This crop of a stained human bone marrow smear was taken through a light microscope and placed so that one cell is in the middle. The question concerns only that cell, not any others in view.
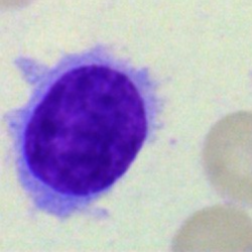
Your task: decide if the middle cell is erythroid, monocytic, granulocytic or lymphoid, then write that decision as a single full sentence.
The central cell derives from the lymphoid lineage.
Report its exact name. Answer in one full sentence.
What the crop centres on is a hairy cell.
